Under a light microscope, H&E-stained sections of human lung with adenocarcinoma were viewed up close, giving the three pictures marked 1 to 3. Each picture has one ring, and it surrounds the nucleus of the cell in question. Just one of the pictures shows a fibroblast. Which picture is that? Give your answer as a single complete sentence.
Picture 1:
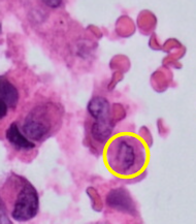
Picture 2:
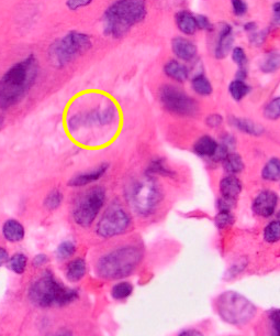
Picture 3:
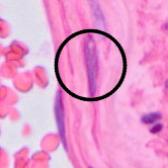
It is picture 2 that shows the fibroblast.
